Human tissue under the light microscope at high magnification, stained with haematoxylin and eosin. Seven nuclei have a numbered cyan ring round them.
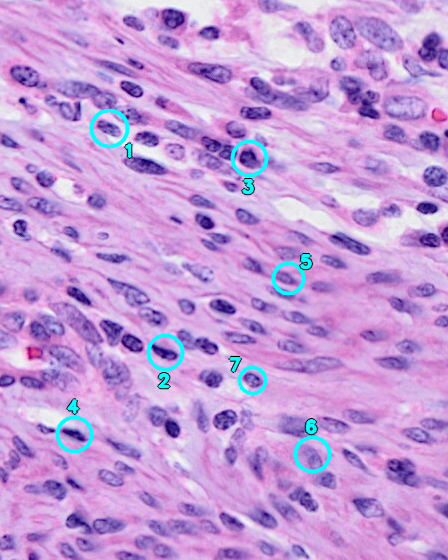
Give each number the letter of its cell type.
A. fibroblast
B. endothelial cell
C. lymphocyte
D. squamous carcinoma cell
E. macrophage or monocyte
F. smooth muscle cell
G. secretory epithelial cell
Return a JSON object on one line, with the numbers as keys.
{"1": "C", "2": "C", "3": "C", "4": "C", "5": "F", "6": "F", "7": "F"}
